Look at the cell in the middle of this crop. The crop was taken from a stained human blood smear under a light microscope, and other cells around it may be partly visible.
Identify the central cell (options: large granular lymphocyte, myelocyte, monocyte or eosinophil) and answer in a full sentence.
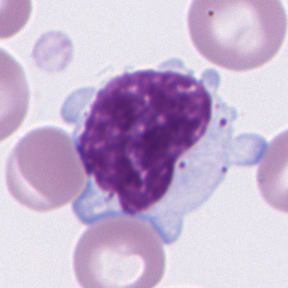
Framed in the middle of the crop is a large granular lymphocyte.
